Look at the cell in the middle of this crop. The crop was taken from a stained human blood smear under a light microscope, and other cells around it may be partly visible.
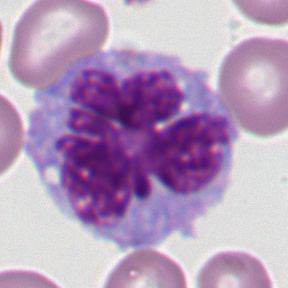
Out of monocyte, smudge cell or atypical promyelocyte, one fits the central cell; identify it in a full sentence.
Present in the middle of the crop is a monocyte.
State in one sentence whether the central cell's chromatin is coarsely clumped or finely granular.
This nucleus has coarsely clumped chromatin.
